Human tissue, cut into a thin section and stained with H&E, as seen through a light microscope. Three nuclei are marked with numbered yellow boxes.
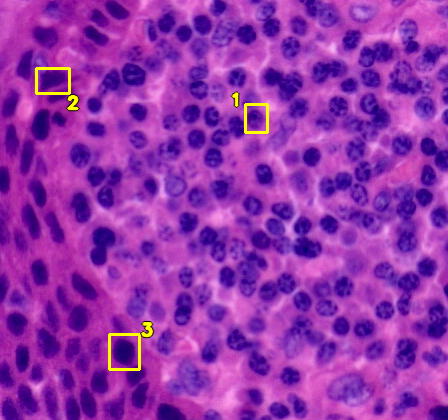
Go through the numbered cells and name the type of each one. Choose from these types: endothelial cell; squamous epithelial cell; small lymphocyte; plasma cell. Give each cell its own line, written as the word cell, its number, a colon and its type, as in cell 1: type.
cell 1: plasma cell
cell 2: squamous epithelial cell
cell 3: squamous epithelial cell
